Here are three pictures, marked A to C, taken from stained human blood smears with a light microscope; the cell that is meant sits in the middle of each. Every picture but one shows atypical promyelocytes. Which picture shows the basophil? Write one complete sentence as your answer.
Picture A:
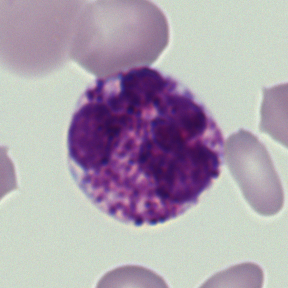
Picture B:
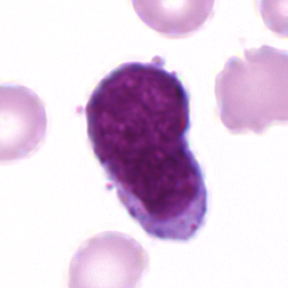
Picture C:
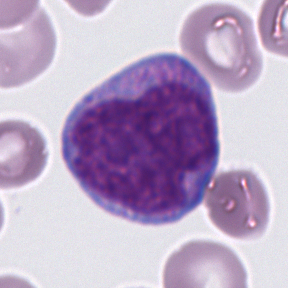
The basophil is the one in picture A.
